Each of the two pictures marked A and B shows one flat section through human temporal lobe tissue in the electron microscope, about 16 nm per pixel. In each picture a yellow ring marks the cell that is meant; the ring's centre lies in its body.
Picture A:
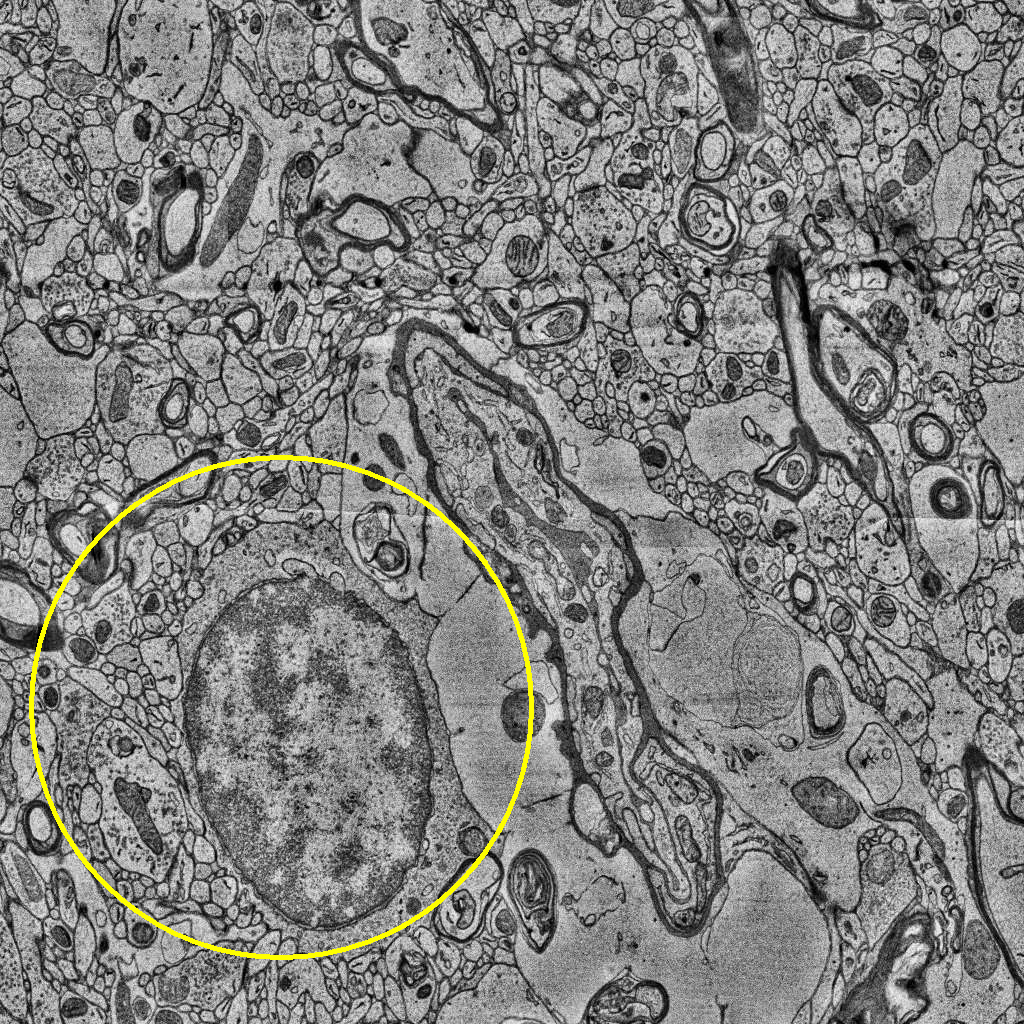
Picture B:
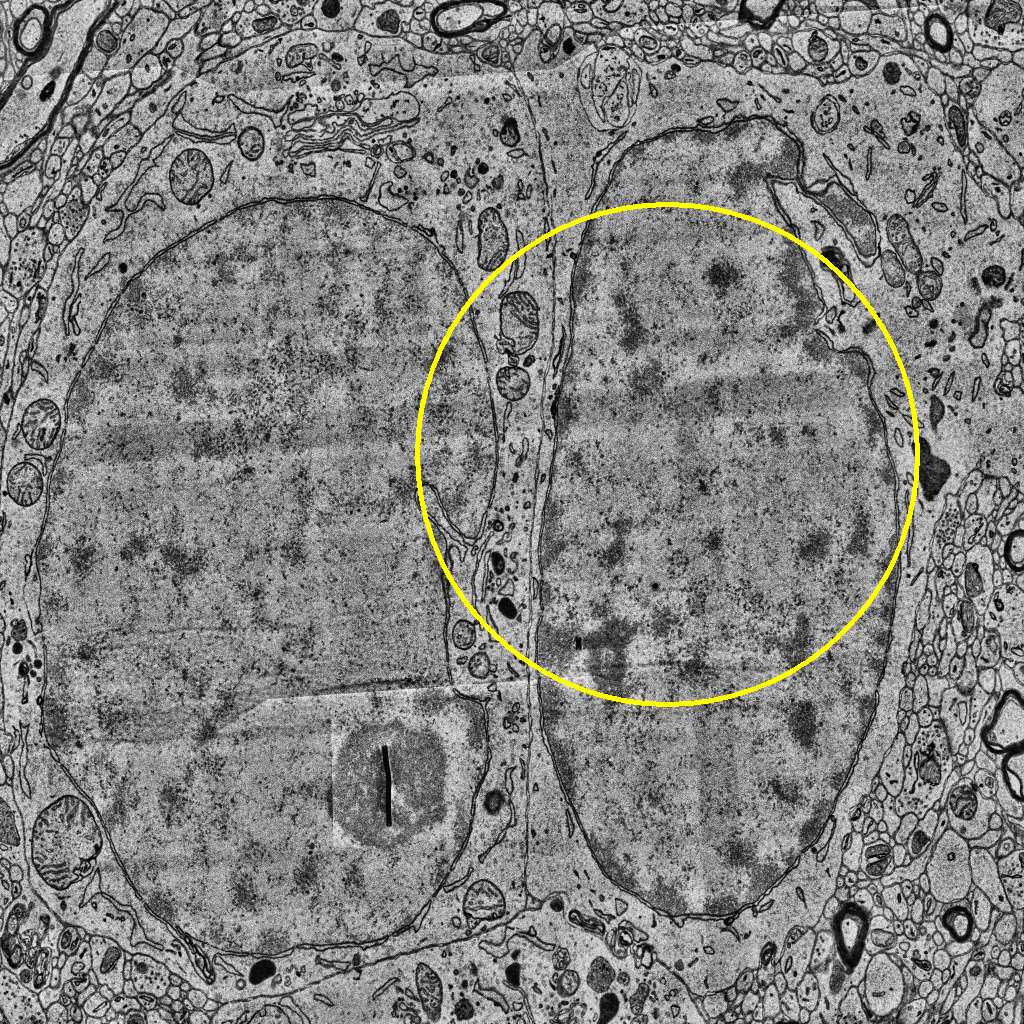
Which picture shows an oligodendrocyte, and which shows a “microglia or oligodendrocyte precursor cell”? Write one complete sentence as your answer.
In picture A the cell is an oligodendrocyte; in picture B, a “microglia or oligodendrocyte precursor cell”.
